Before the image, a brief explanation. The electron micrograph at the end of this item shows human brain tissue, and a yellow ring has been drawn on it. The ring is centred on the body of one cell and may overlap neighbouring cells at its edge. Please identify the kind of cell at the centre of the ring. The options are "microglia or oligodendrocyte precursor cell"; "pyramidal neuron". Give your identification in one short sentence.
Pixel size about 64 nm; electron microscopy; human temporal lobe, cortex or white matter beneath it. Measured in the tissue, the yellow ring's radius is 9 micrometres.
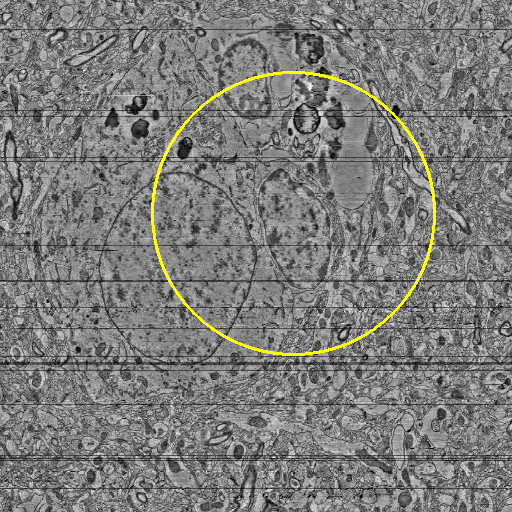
The ring has been placed around a microglial cell or oligodendrocyte precursor cell.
